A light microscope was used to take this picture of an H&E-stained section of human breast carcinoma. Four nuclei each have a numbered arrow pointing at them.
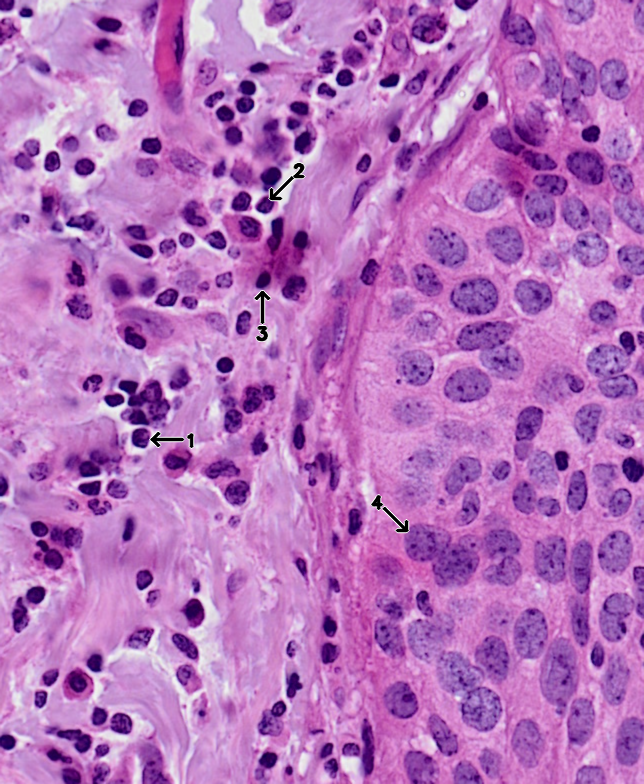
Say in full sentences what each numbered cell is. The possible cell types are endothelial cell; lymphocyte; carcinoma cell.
Cells 1, 2 and 3 are lymphocytes. Cell 4 is a carcinoma cell.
